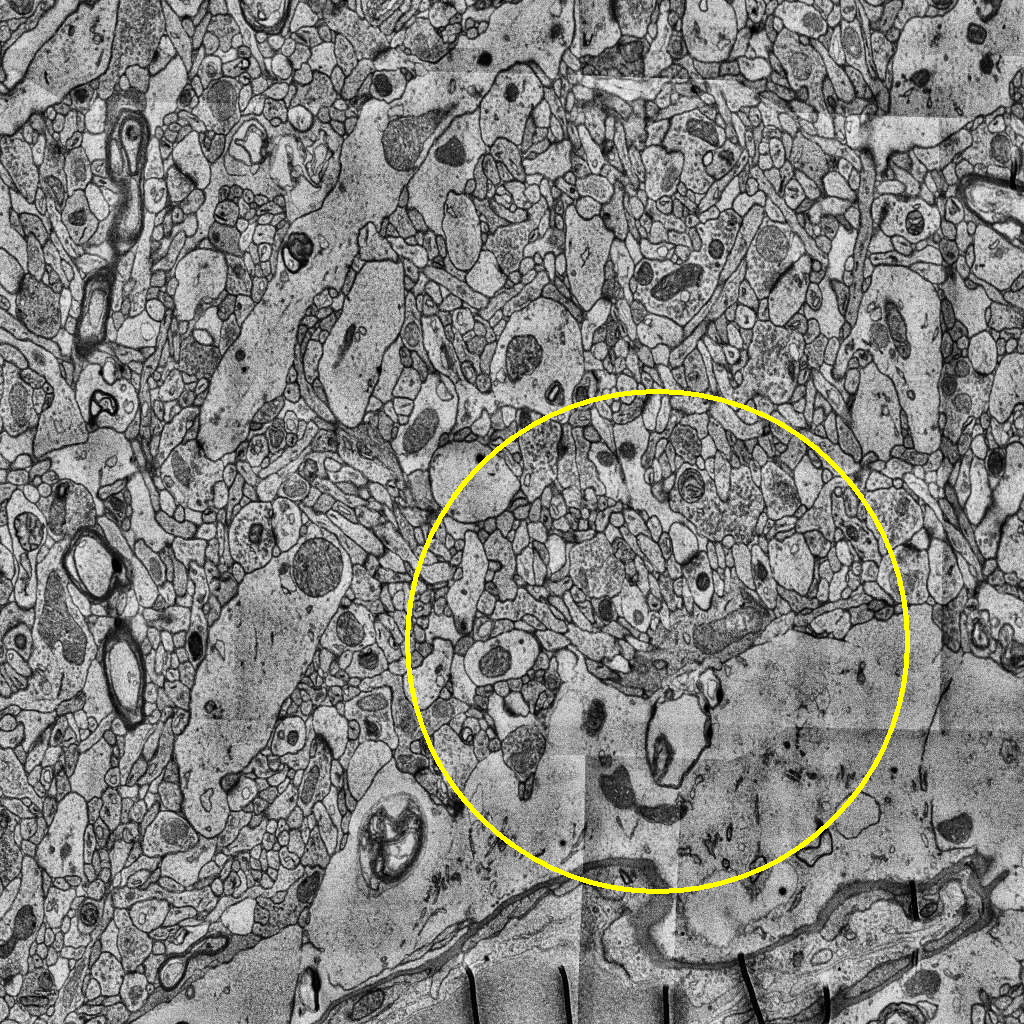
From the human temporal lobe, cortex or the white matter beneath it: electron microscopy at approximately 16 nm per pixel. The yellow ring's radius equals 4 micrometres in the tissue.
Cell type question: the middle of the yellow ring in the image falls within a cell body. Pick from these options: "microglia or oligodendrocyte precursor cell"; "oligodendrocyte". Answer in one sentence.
The cell body at the center of the ring belongs to an oligodendrocyte.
